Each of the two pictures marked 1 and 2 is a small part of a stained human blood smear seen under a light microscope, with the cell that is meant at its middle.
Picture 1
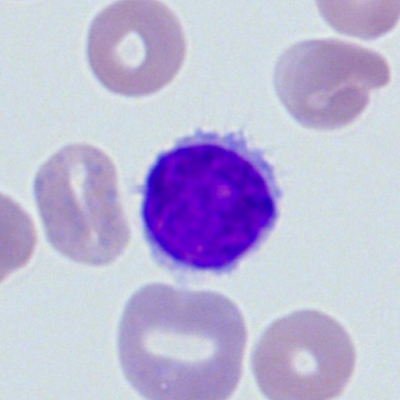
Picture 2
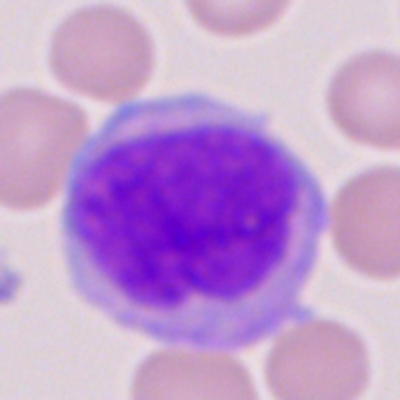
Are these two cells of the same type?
no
